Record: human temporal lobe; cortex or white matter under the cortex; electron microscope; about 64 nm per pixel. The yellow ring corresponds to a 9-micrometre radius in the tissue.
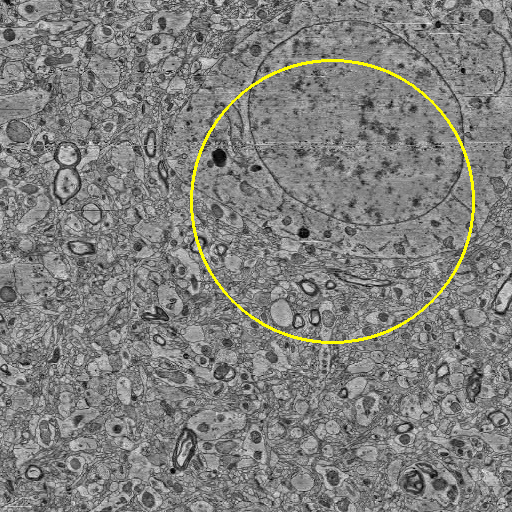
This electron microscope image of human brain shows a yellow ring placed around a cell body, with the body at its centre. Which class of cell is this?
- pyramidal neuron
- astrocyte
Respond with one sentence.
The cell body at the ring's centre is a pyramidal neuron.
